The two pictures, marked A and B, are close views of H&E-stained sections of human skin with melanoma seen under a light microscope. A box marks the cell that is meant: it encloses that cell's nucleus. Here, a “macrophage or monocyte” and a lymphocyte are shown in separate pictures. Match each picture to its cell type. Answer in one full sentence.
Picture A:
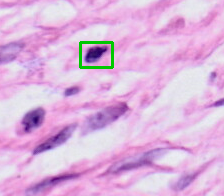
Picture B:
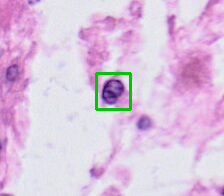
Picture A is of a lymphocyte, and picture B is of a “macrophage or monocyte”.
